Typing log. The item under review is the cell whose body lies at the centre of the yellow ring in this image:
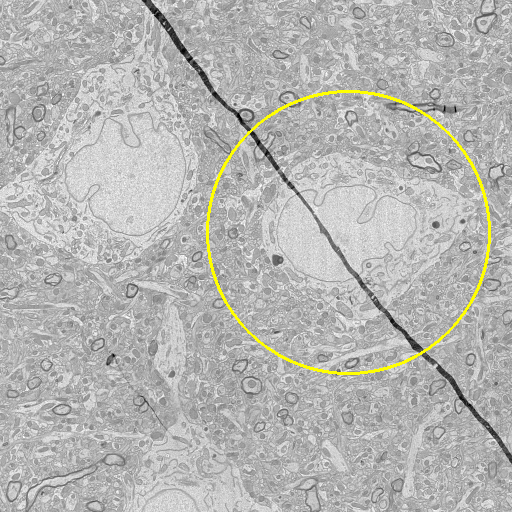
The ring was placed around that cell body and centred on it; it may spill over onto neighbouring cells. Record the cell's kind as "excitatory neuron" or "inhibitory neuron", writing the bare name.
excitatory neuron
